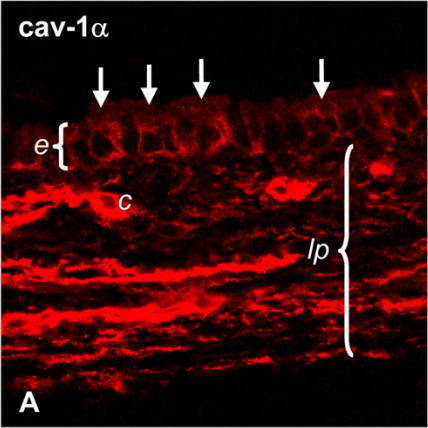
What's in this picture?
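At the top is a row of tall columnar epithelial cells whose borders are outlined in red in a honeycomb-like pattern. Below lies a wide lamina propria crossed by elongated, intensely red streaks and rounded bright profiles of capillaries. The capillary walls stain much more strongly than the epithelium above them.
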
